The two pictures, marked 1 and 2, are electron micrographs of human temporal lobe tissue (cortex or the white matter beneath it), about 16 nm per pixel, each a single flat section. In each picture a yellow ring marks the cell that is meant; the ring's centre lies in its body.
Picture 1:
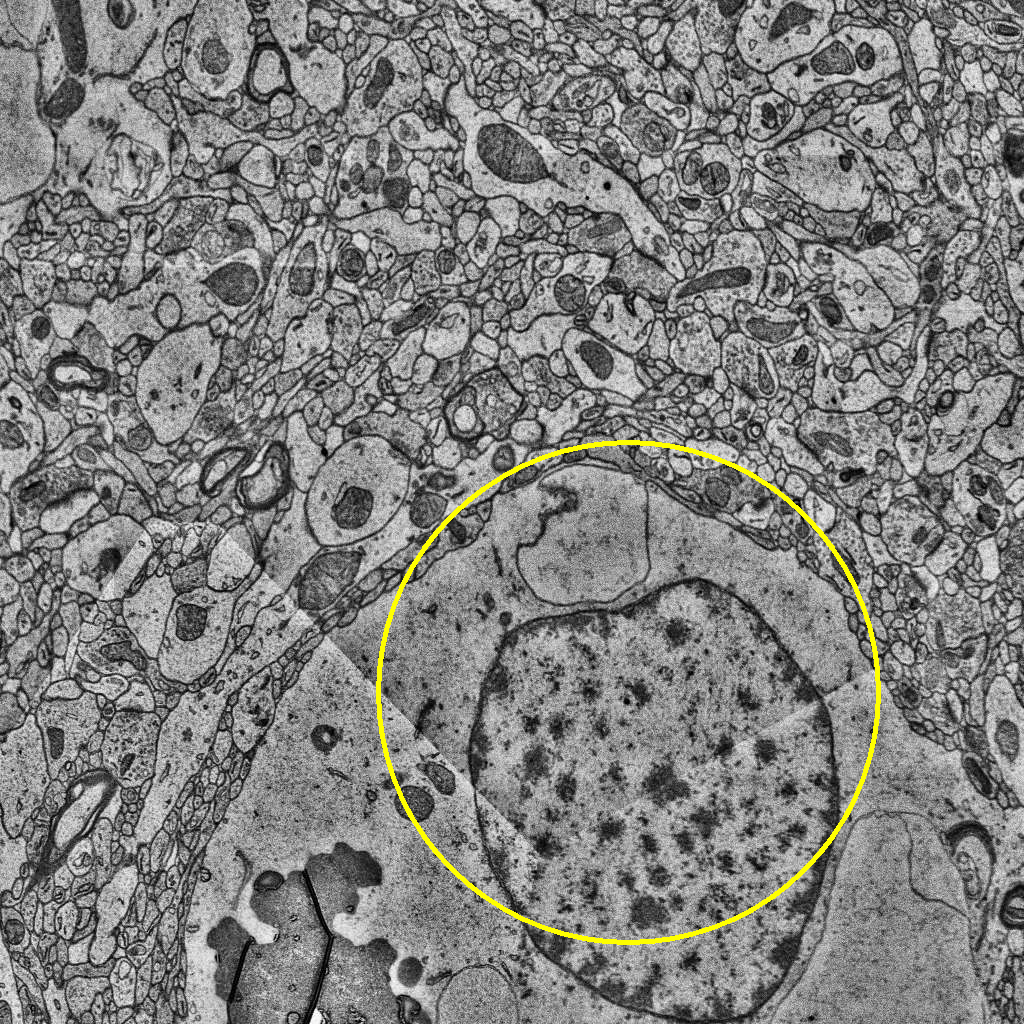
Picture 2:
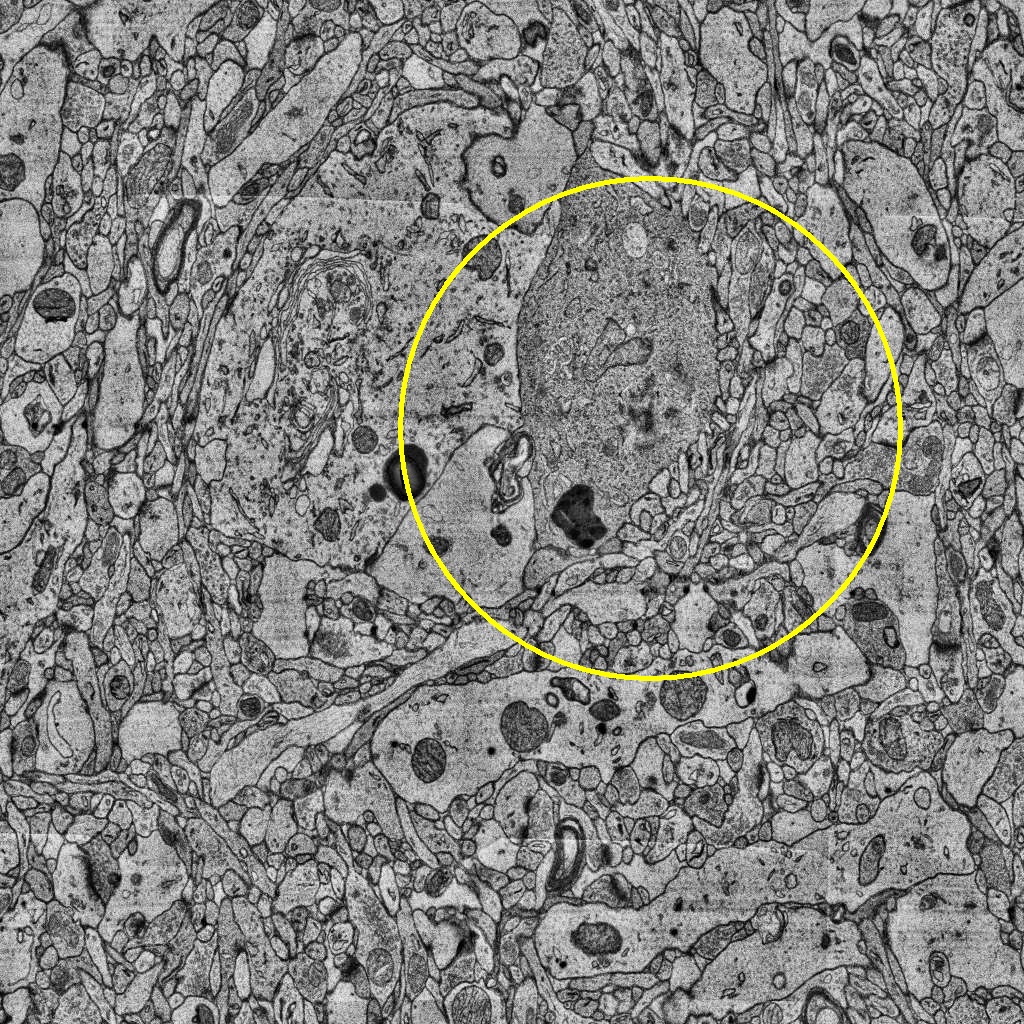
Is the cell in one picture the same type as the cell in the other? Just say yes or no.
no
